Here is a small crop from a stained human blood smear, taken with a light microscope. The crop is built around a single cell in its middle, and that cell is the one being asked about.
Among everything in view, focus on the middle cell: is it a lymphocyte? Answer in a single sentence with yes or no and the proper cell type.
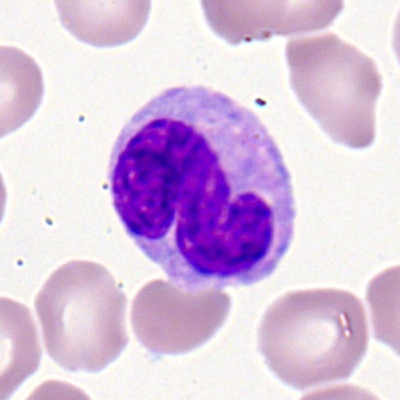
No, it is a monocyte rather than a lymphocyte that the middle of the crop contains.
